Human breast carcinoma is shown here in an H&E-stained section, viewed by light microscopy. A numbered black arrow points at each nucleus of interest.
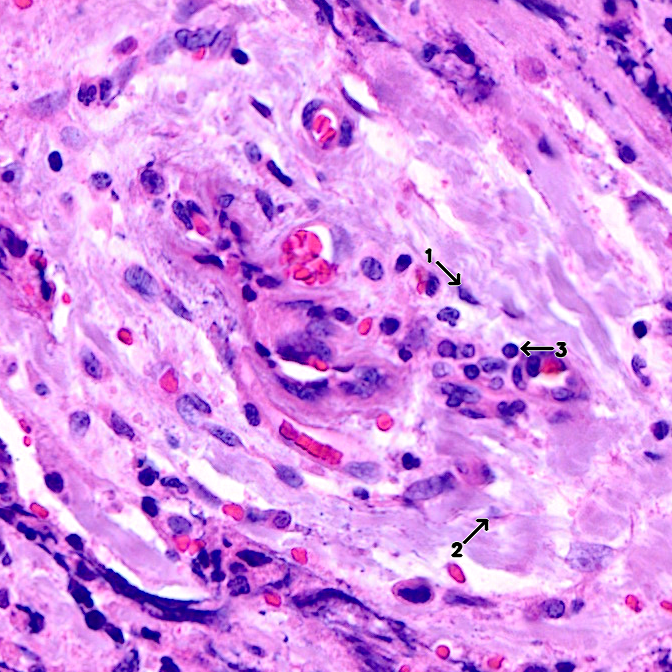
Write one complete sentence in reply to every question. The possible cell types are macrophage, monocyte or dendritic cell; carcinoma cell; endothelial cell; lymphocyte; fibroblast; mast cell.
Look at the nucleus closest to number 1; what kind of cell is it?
The nearest nucleus to number 1 belongs to a lymphocyte.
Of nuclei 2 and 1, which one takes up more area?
Of the two, number 1 is bigger and takes up about 1.5 times the area of number 2.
